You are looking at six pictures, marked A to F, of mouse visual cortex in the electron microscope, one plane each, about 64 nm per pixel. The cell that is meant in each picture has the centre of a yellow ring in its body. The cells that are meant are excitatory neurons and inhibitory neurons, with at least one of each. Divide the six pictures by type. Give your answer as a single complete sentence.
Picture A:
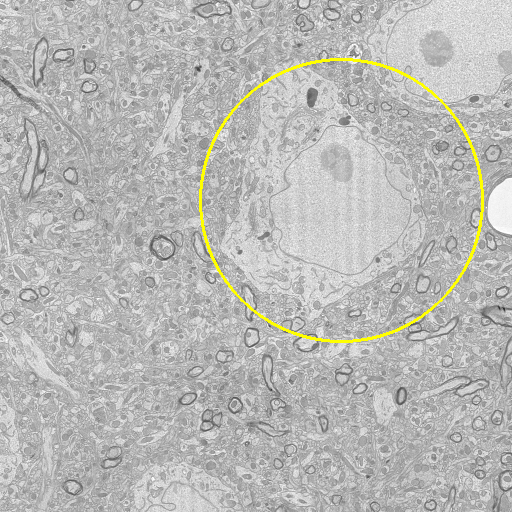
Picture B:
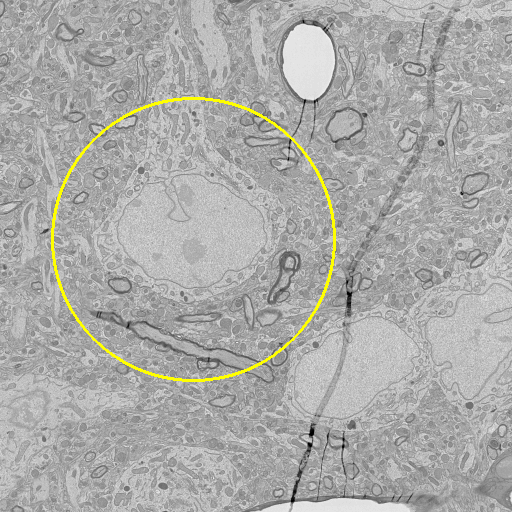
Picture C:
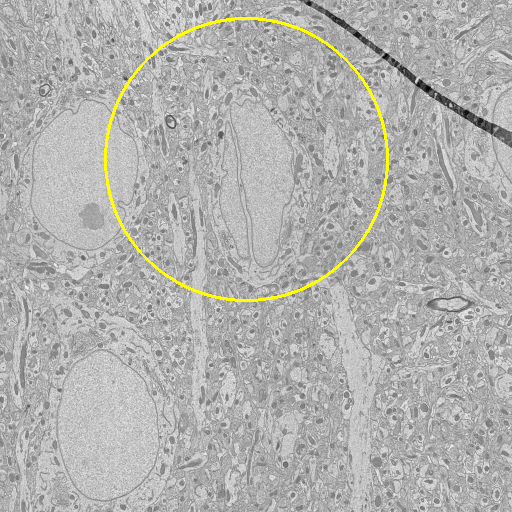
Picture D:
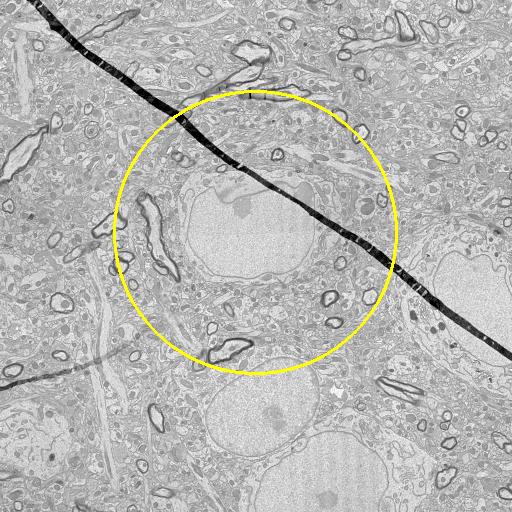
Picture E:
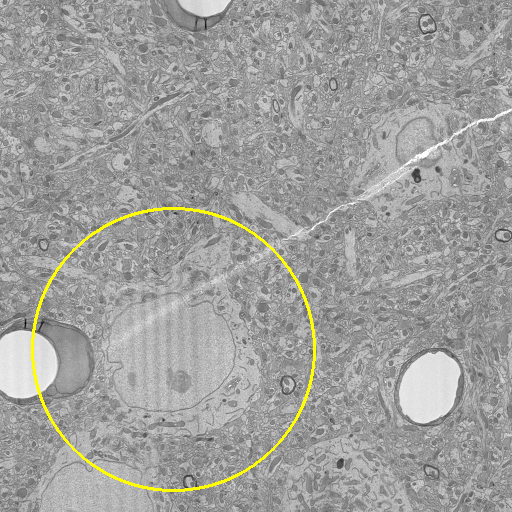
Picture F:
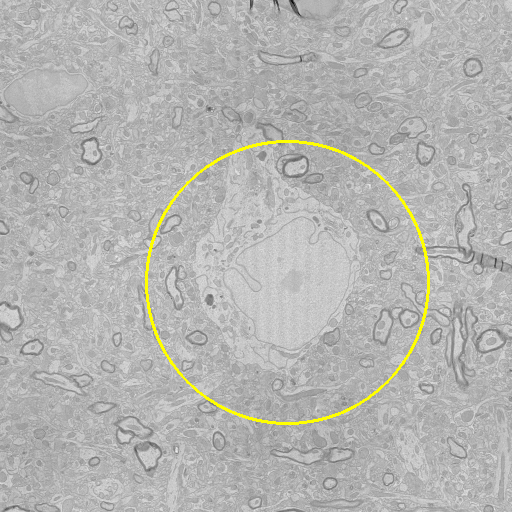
Pictures A, D, E and F show excitatory neurons; pictures B and C show inhibitory neurons.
